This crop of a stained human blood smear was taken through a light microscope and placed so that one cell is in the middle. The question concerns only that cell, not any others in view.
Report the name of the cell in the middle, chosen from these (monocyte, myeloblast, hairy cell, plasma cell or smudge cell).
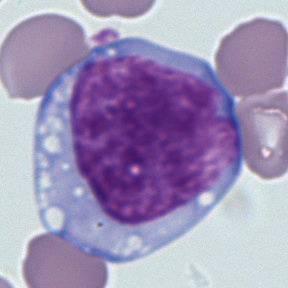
myeloblast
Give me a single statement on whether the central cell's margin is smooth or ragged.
The membrane contour is even and smooth, with nothing projecting from it.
